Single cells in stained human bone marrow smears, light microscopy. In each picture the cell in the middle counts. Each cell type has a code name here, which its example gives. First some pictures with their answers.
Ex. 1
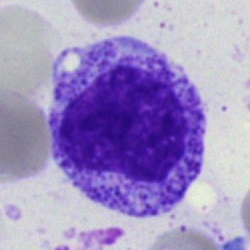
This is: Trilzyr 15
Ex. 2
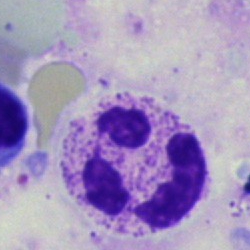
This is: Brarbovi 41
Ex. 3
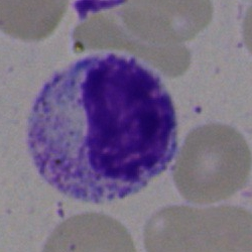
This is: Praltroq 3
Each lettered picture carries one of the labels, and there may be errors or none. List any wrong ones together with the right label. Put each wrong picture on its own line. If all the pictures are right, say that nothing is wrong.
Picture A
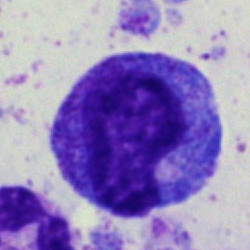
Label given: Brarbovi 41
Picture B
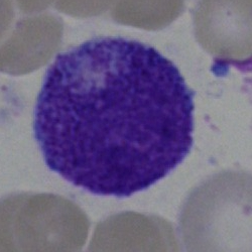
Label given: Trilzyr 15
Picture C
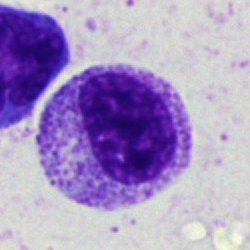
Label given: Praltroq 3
A: change Brarbovi 41 to Trilzyr 15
